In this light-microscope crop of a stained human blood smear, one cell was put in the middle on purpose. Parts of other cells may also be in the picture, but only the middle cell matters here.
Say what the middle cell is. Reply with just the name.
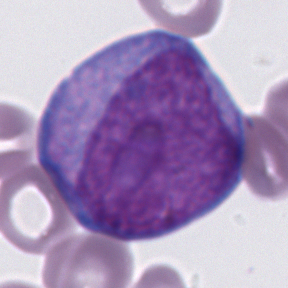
promyelocyte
